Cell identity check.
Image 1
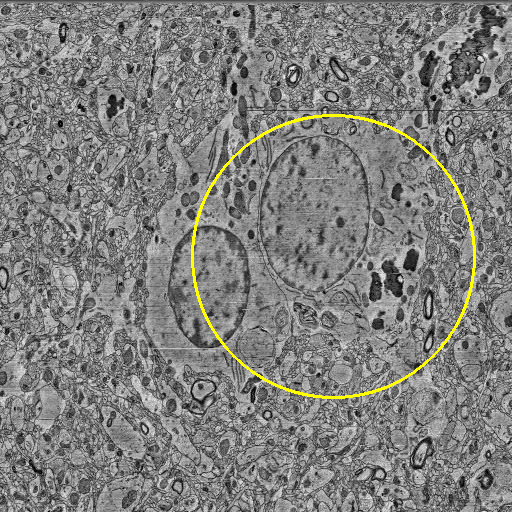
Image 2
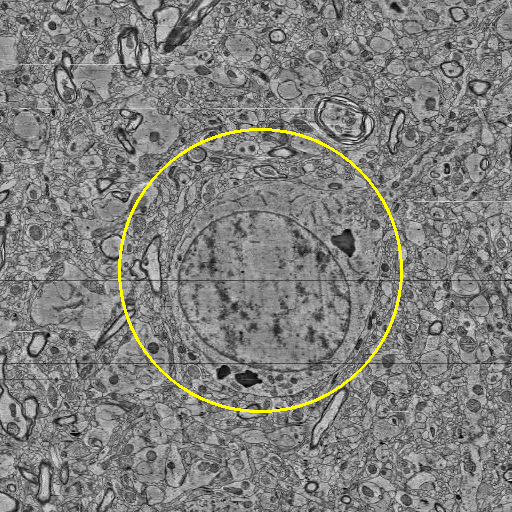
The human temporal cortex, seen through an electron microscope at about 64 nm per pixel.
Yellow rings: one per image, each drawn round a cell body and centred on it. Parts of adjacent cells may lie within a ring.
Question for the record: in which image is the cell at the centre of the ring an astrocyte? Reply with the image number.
1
